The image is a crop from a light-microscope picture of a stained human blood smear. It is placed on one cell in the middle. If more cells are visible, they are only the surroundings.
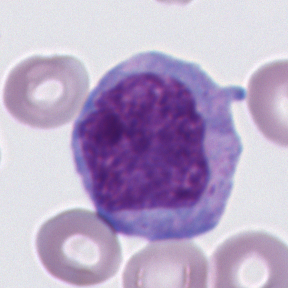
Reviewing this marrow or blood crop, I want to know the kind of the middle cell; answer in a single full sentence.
The cell occupying the middle of the crop is an atypical promyelocyte.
